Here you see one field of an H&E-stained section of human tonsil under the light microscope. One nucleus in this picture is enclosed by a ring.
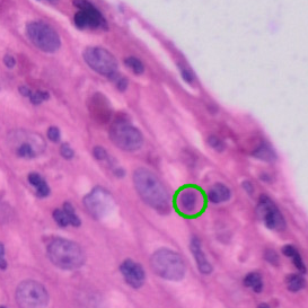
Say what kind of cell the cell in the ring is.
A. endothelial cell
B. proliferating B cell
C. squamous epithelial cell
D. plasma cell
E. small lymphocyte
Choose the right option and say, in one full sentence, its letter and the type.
Option C is right, and the cell in the ring is a squamous epithelial cell.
